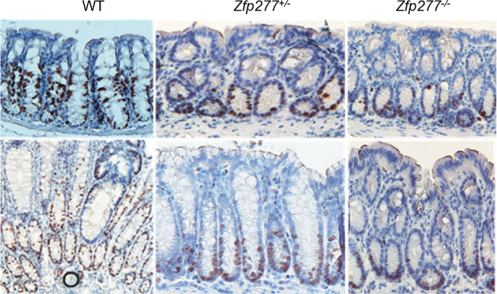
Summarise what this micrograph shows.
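These are sections of colonic mucosa, made of straight tubular crypts set side by side with no villi. The crypts are lined by columnar epithelium with many pale goblet cells between blue-stained nuclei. Brown-stained nuclei lie mainly in the lower part of the crypts, near their base. Some micrographs show many brown nuclei reaching well up the crypts, while others show only a few at the bottom.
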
